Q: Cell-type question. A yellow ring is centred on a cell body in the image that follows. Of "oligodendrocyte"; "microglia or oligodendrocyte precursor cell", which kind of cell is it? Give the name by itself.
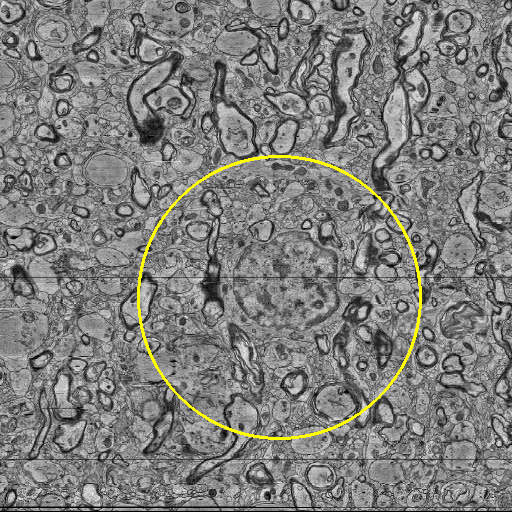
oligodendrocyte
